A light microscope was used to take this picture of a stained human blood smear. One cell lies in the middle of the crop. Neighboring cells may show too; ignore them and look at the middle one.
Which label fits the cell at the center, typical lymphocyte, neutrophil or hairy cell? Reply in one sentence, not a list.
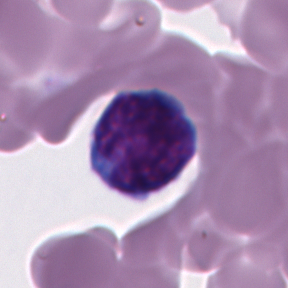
The cell centered in this field of view is a typical lymphocyte.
